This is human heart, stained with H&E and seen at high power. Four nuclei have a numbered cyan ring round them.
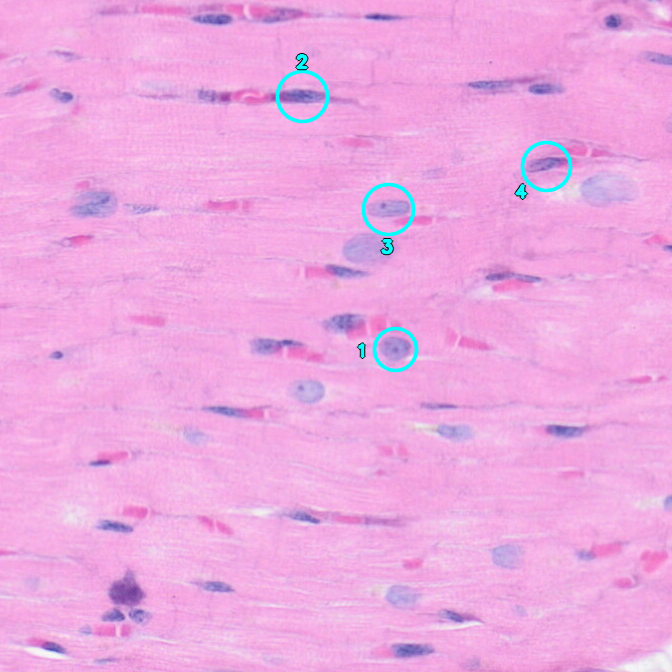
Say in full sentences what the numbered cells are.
Cells 1 and 3 are cardiomyocytes. Cells 2 and 4 are endothelial cells.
